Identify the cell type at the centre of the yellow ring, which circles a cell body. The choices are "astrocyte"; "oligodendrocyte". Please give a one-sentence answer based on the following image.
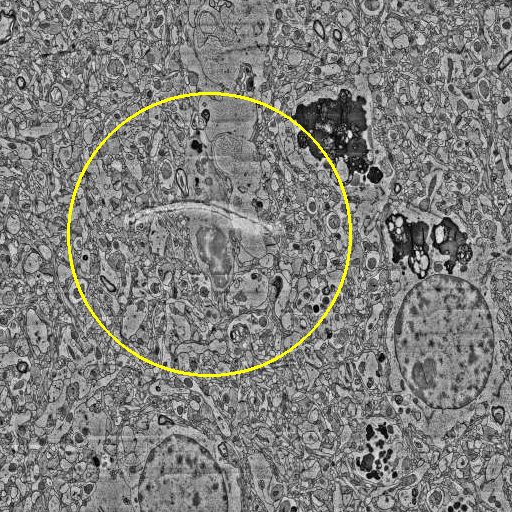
The cell marked by the ring is an oligodendrocyte.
